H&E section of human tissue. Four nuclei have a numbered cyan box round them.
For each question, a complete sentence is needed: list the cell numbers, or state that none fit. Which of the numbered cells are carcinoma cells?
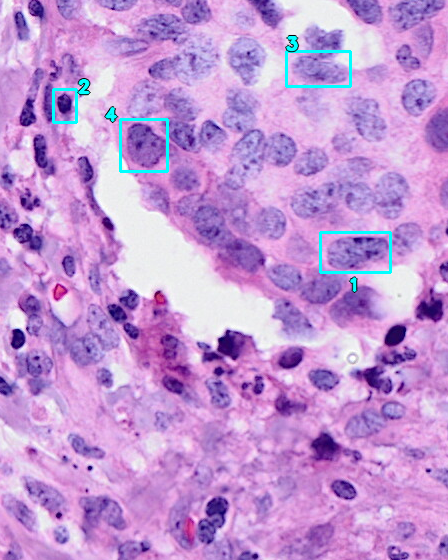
The numbers 1, 3 and 4 refer to cells that are carcinoma cells.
